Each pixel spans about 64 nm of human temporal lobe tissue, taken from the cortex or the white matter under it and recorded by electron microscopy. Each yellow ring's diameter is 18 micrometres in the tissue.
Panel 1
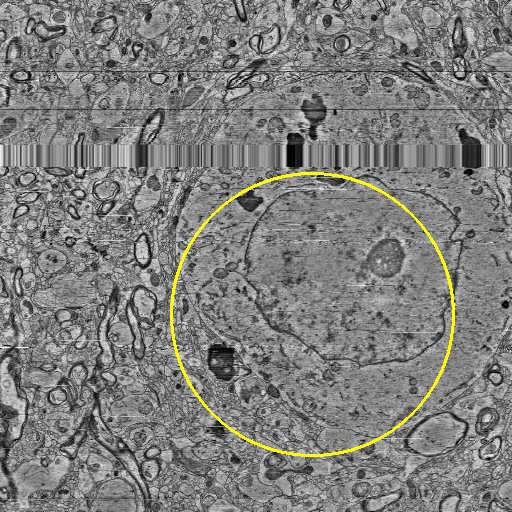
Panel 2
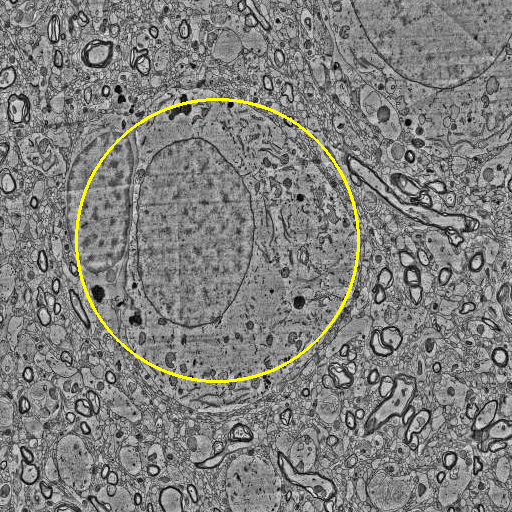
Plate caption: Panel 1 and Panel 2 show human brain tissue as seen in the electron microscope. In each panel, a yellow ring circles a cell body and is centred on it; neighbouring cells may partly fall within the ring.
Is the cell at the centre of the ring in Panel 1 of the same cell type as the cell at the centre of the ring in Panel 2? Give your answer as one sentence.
Yes, the two cells are of the same type.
